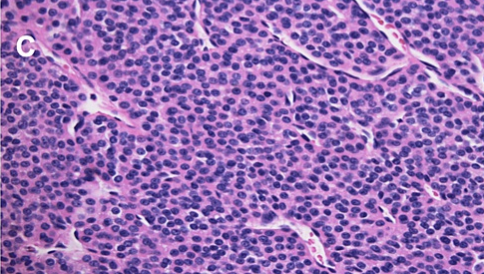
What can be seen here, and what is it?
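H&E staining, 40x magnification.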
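Nests of small, uniform, rounded tumor cells surround thin capillary-sized vessels. The cells have round, centrally placed, evenly sized nuclei with fine chromatin and a modest rim of pale pink to lilac cytoplasm. The vessels appear as narrow slit-like channels lined by flat cells, around which the cells are packed.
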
